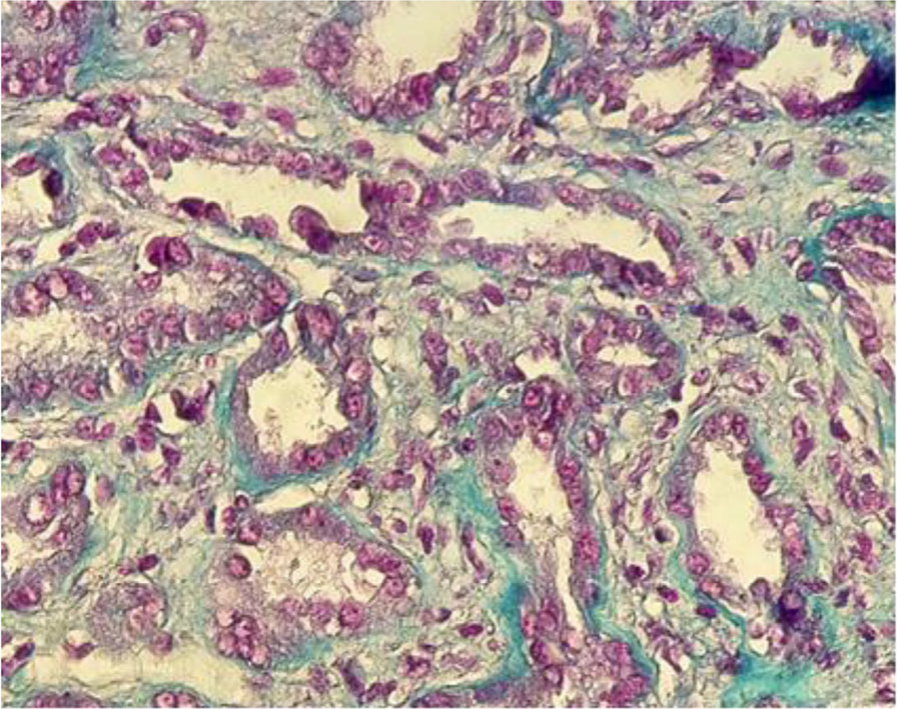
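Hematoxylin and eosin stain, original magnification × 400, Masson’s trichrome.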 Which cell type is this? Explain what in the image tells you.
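Scattered small cells with round to oval dark nuclei lie in the green-stained tissue between tubules. These cells sit outside the tubular epithelial lining. So: mononuclear cells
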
